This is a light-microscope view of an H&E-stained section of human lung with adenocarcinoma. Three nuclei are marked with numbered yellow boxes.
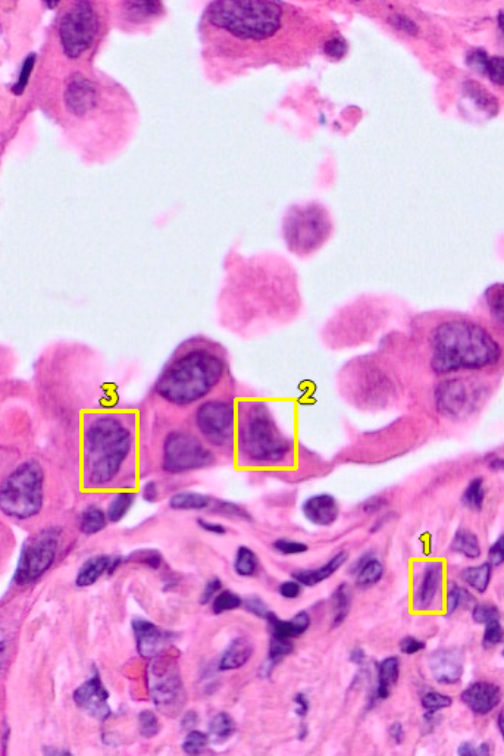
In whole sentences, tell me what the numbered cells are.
Cell 1 is a plasma cell, cell 2 is a carcinoma cell and cell 3 is a carcinoma cell.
